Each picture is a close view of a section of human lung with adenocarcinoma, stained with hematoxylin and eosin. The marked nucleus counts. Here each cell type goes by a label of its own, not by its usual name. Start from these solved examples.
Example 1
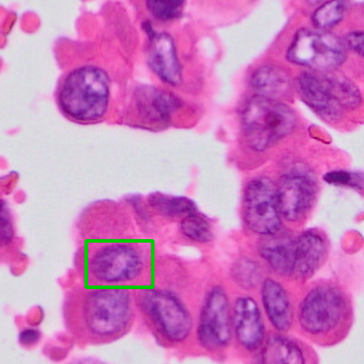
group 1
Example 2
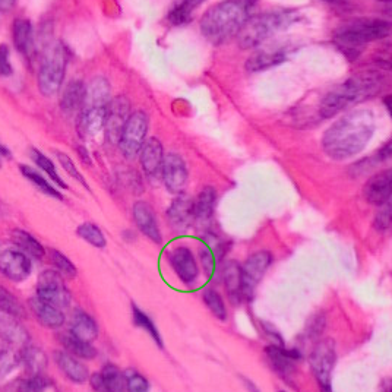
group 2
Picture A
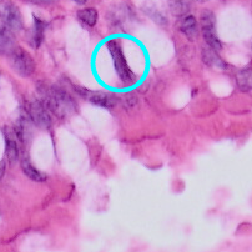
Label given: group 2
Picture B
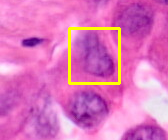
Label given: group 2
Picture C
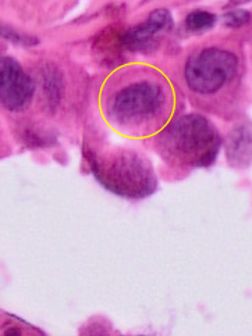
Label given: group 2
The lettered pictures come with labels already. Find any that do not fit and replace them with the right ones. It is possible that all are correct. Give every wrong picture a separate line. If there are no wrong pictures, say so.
B should be group 1, not group 2
C should be group 1, not group 2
